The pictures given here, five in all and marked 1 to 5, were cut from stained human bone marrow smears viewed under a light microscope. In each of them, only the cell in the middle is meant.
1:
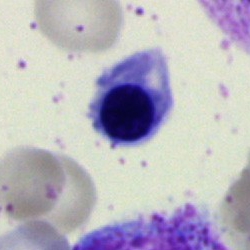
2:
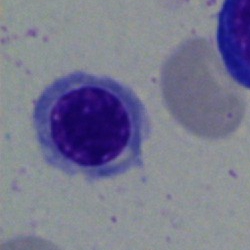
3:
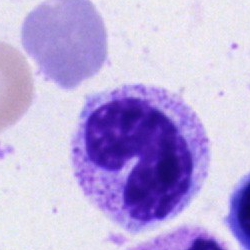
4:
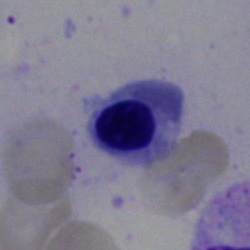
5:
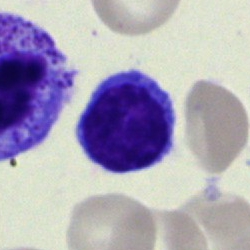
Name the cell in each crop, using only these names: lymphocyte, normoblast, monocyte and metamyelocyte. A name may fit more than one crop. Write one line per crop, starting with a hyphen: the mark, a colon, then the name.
- 1: normoblast
- 2: normoblast
- 3: metamyelocyte
- 4: normoblast
- 5: lymphocyte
